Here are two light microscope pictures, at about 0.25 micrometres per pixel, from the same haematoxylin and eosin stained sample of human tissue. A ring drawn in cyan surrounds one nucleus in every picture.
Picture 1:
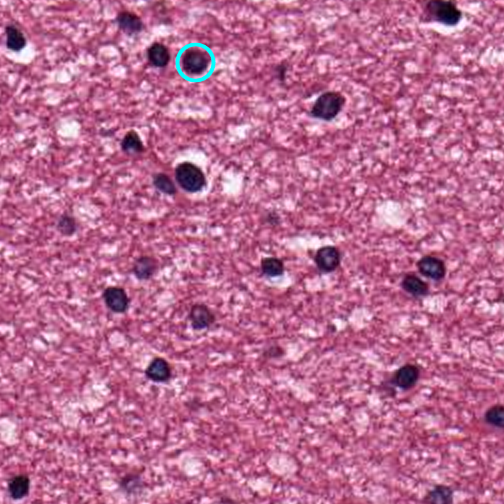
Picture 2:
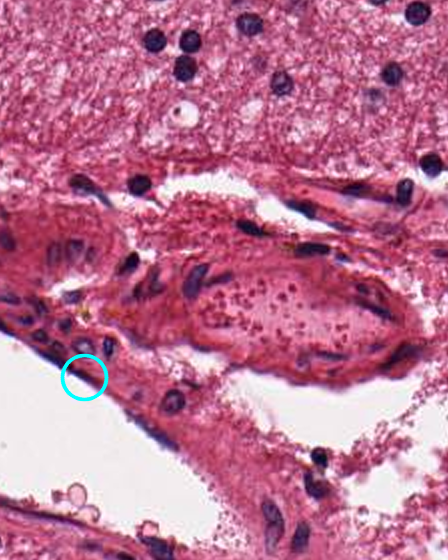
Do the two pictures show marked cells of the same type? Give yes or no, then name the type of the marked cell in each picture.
No, the first is an oligodendrocyte and the second an endothelial cell.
